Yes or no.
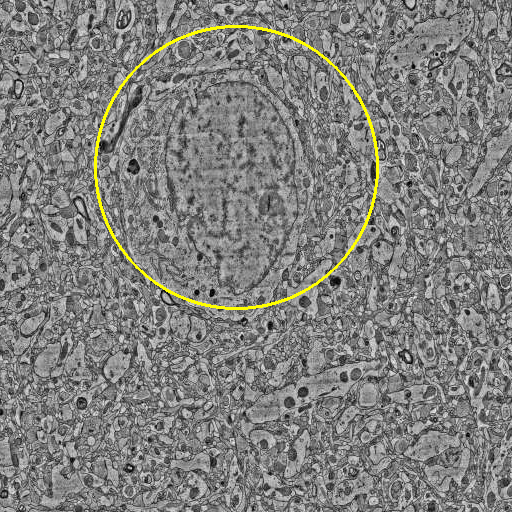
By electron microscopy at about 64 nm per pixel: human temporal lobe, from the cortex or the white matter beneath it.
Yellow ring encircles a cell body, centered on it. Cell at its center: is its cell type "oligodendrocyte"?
no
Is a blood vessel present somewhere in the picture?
No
